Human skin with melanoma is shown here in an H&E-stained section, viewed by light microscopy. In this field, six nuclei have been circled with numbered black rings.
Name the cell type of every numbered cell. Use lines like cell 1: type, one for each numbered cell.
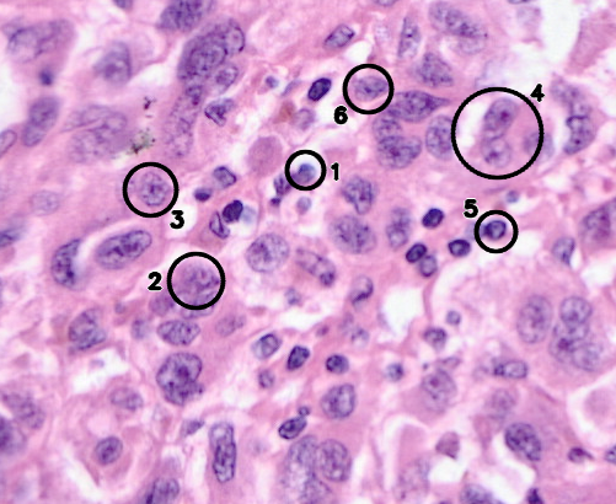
cell 1: lymphocyte
cell 2: melanoma cell
cell 3: melanoma cell
cell 4: melanoma cell
cell 5: lymphocyte
cell 6: macrophage or monocyte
